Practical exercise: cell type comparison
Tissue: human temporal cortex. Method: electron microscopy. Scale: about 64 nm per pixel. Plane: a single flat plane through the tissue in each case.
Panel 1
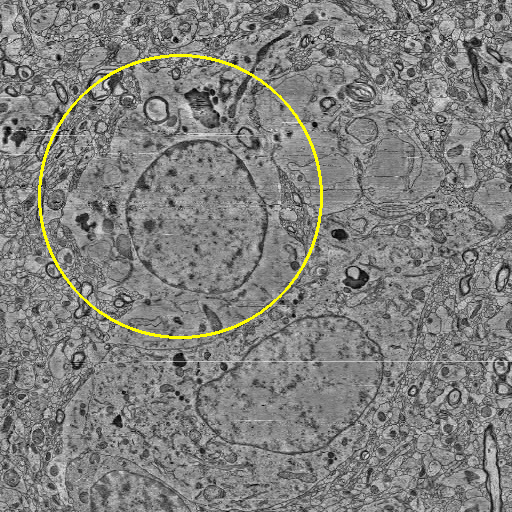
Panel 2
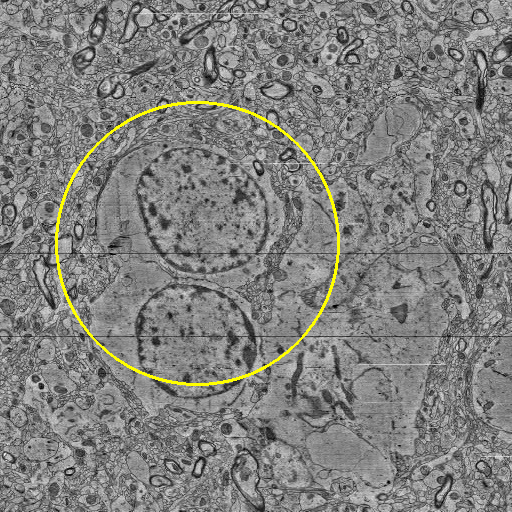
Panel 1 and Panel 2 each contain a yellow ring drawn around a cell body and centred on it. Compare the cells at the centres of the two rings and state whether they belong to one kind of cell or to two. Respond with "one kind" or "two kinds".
one kind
